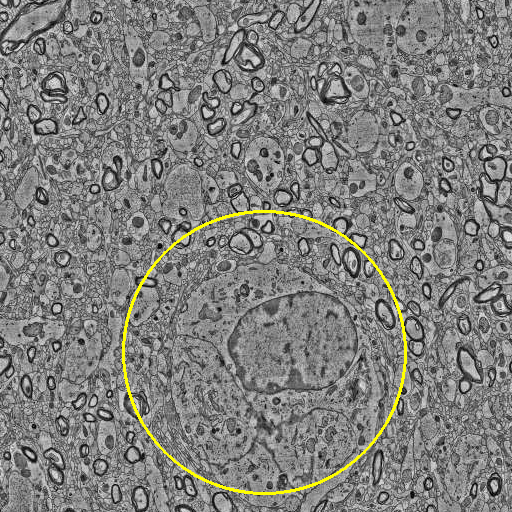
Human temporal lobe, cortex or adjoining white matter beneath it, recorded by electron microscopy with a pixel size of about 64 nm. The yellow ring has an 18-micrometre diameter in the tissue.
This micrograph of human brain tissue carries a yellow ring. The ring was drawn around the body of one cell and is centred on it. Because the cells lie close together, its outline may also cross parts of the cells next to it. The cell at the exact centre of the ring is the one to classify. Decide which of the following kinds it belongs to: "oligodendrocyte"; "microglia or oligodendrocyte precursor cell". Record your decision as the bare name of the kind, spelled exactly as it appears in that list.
microglia or oligodendrocyte precursor cell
